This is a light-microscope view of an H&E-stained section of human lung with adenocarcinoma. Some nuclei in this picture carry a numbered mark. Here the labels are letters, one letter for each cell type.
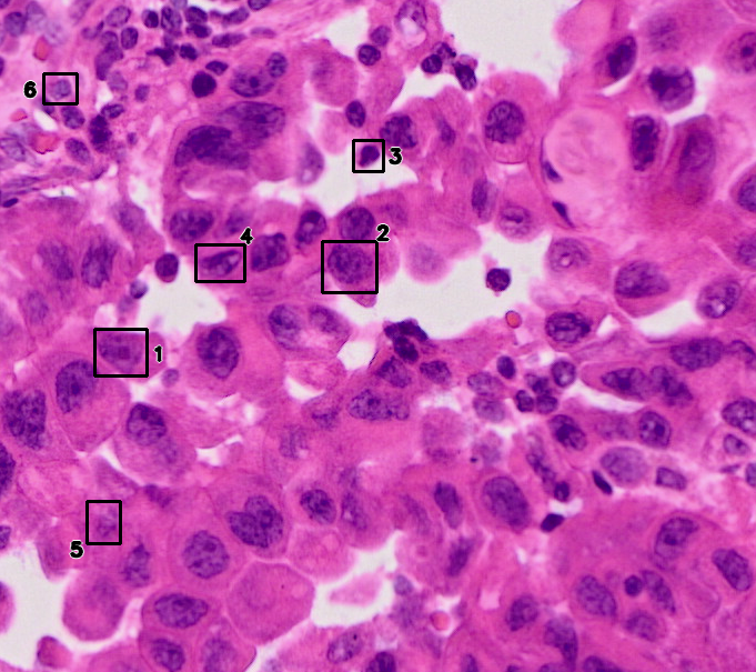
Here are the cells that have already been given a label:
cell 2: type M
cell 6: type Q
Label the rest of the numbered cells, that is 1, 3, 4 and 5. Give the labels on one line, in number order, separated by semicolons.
type M; type Q; type M; type M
